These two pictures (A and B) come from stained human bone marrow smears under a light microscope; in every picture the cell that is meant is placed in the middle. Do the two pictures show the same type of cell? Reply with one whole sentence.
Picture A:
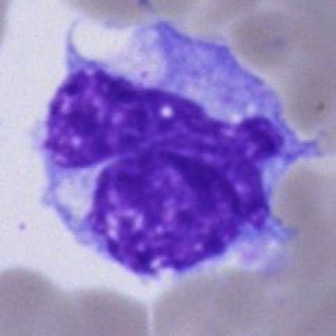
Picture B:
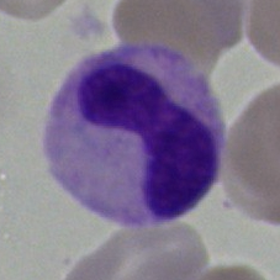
No; the cell in picture A is a monocyte, while the one in picture B is a band neutrophil.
